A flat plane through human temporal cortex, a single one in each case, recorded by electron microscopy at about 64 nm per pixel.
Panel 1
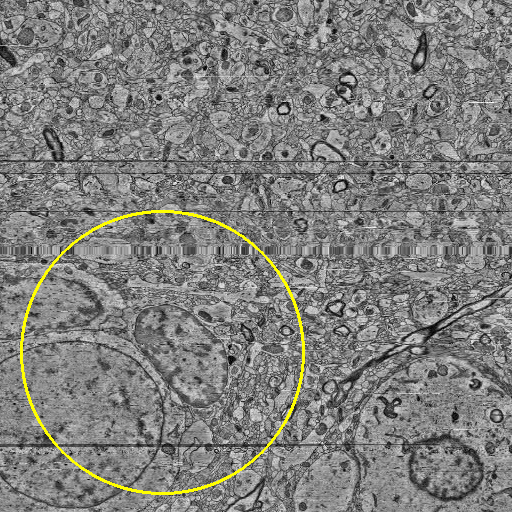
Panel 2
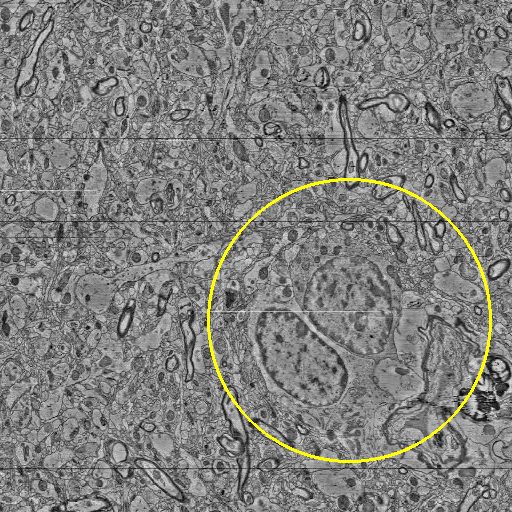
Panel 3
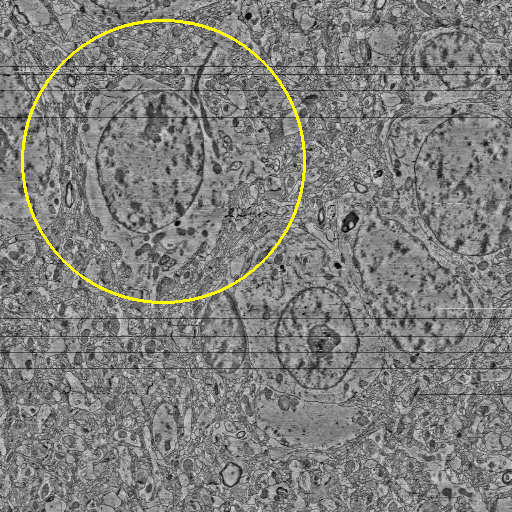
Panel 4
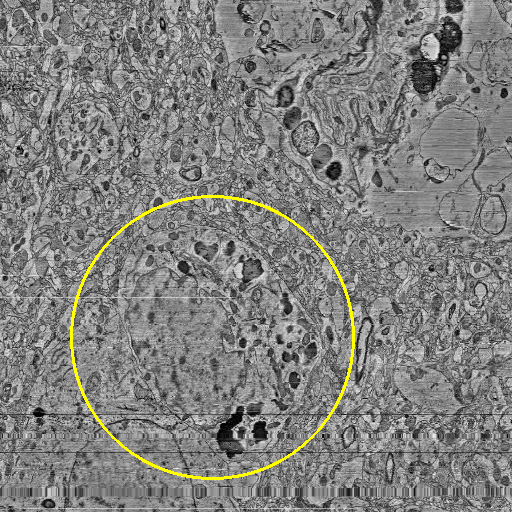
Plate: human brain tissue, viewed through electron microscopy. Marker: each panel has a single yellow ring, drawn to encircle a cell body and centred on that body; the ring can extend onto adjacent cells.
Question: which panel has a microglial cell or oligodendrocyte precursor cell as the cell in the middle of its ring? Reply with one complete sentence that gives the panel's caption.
Panel 1 is where the requested cell sits at the centre of the ring.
